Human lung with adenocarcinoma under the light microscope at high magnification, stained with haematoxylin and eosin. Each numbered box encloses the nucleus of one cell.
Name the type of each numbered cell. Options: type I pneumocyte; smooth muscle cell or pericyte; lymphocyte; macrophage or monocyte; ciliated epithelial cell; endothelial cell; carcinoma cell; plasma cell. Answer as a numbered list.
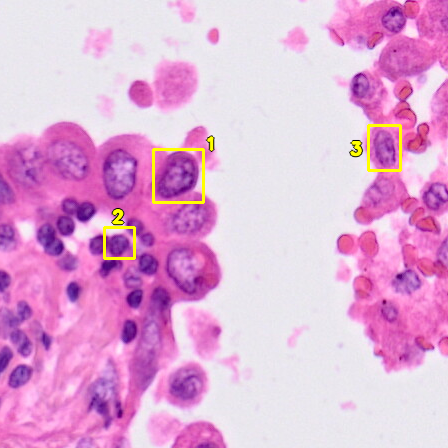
1. carcinoma cell
2. lymphocyte
3. macrophage or monocyte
